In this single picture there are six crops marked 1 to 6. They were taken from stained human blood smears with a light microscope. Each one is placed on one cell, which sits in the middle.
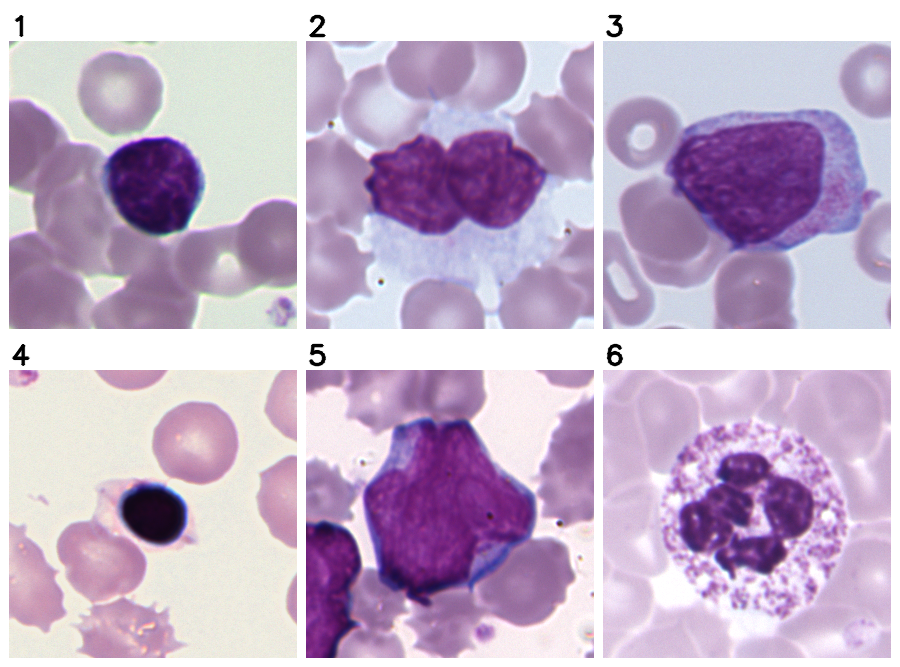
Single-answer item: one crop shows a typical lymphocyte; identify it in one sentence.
The correct choice is crop 1, the one showing a typical lymphocyte.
